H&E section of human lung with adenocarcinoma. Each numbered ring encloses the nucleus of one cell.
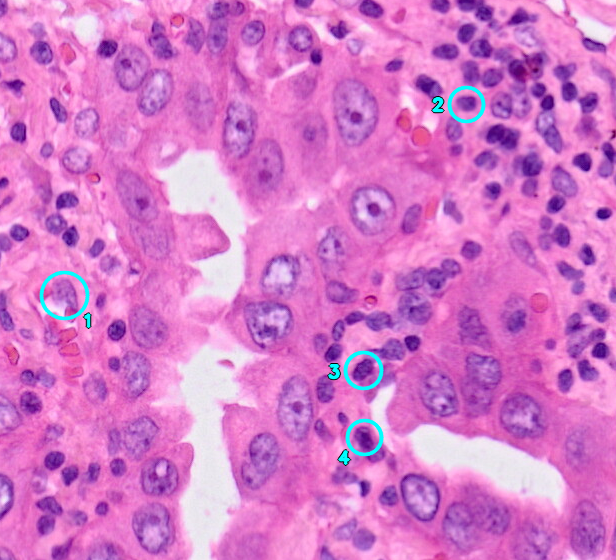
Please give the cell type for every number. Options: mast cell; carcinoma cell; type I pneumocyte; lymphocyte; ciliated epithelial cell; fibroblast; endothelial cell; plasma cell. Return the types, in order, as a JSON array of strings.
["endothelial cell", "lymphocyte", "lymphocyte", "lymphocyte"]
